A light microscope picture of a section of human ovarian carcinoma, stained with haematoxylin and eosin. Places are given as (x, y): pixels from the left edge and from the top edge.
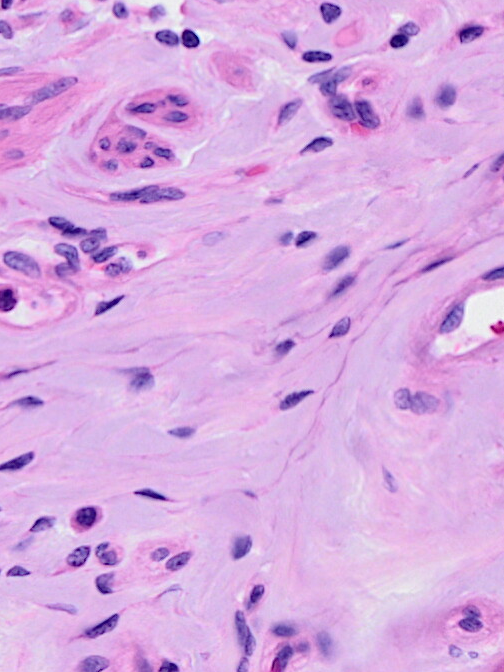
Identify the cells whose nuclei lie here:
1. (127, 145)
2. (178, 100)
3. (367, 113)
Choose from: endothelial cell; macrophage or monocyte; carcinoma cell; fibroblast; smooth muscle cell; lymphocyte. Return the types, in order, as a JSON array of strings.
["smooth muscle cell", "smooth muscle cell", "endothelial cell"]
